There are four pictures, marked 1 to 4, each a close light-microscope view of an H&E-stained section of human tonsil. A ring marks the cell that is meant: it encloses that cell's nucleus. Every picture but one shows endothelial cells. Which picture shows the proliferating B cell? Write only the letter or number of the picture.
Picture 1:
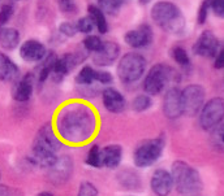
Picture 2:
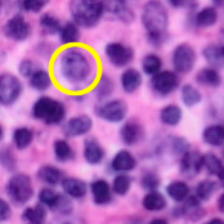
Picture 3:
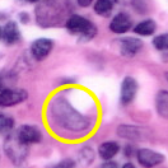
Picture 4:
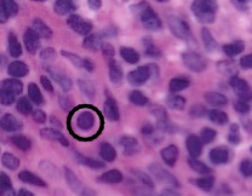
2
